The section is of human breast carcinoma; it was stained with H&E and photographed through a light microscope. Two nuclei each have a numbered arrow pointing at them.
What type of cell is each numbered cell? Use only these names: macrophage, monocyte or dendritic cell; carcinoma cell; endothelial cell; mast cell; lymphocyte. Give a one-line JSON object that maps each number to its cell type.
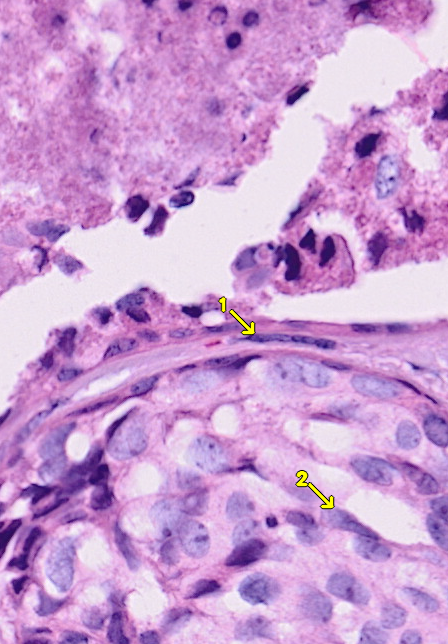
{"1": "endothelial cell", "2": "carcinoma cell"}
